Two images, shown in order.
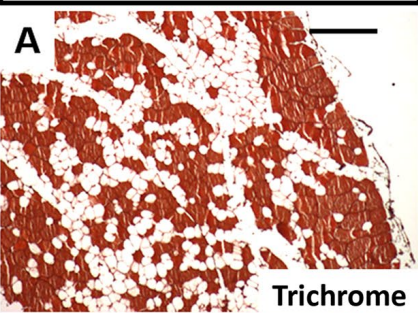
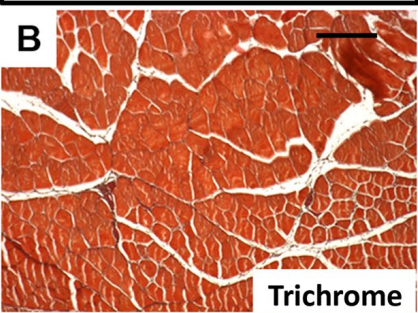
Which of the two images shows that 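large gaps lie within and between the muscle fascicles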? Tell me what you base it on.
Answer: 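Second image: red fibres are tightly packed with only thin pale seams between fascicles. First image: many round white empty spaces break up the red fibres, in clusters and bands.
Conclusion: the first image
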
